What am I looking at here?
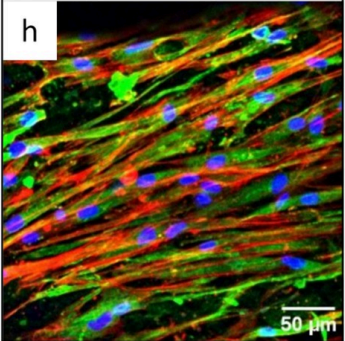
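Densely packed, long spindle-shaped cells lie side by side, all aligned in one diagonal direction, each with a single oval blue nucleus and red fibres running along its length. Green fibrous material runs between and over the cells in the same direction.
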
